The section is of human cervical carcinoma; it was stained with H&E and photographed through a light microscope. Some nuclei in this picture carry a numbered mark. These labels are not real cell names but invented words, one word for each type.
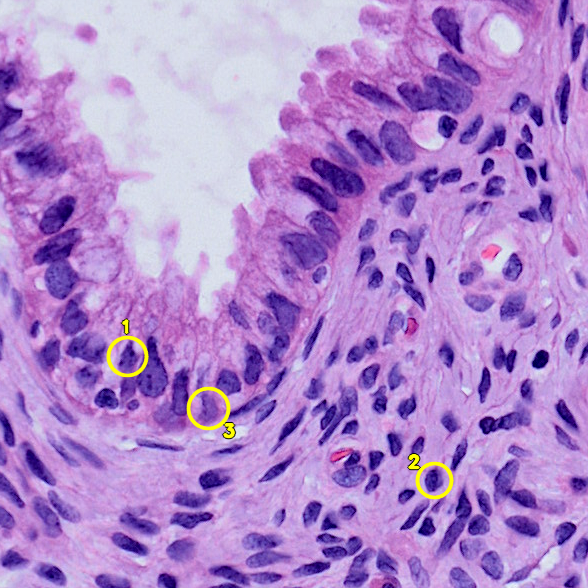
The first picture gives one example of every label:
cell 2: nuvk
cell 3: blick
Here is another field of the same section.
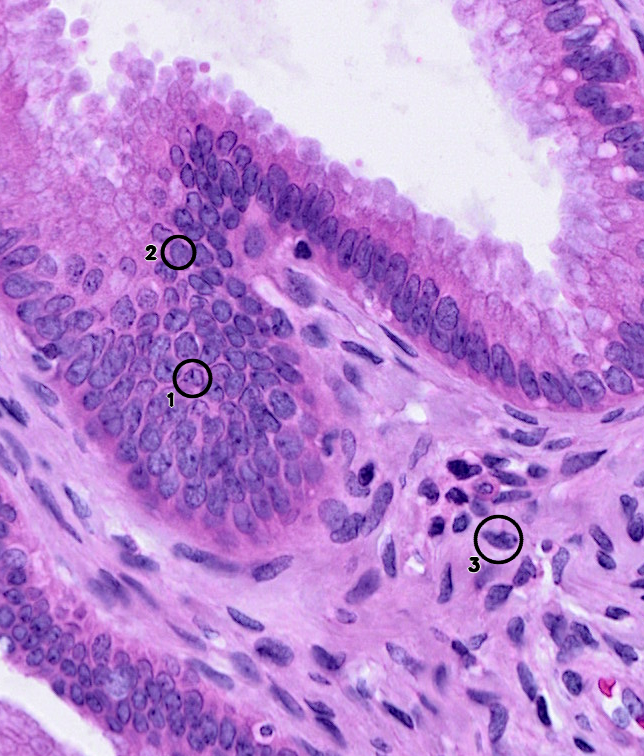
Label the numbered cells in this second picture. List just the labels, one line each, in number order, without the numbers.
blick
blick
nuvk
